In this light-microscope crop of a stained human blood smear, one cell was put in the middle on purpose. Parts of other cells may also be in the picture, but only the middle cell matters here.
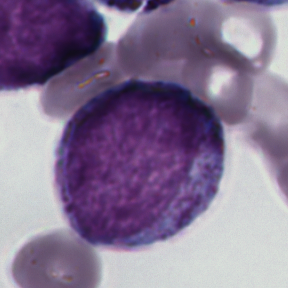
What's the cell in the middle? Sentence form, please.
The cell that lies at the centre of the crop is a promyelocyte.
